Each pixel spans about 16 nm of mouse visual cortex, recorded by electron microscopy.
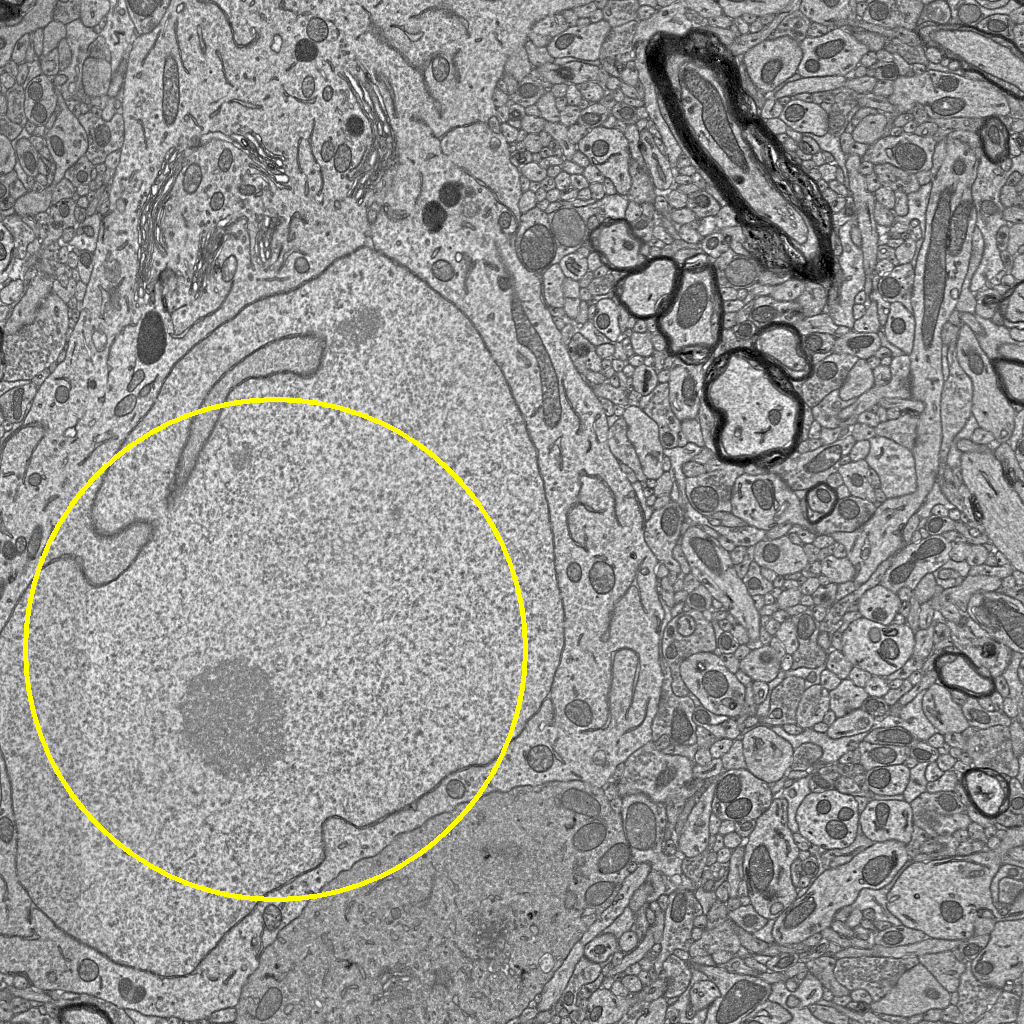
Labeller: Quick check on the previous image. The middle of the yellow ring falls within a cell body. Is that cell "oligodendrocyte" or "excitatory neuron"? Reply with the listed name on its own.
excitatory neuron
